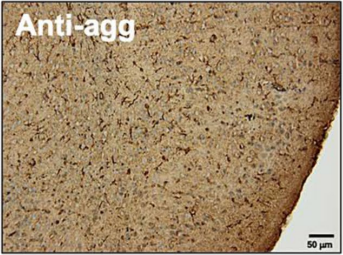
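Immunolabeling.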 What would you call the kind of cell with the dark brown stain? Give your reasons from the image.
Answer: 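Dark brown cells with thin branching processes are spread evenly through the tissue. A dense brown band of processes runs along the tissue edge.
Conclusion: Astrocytes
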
